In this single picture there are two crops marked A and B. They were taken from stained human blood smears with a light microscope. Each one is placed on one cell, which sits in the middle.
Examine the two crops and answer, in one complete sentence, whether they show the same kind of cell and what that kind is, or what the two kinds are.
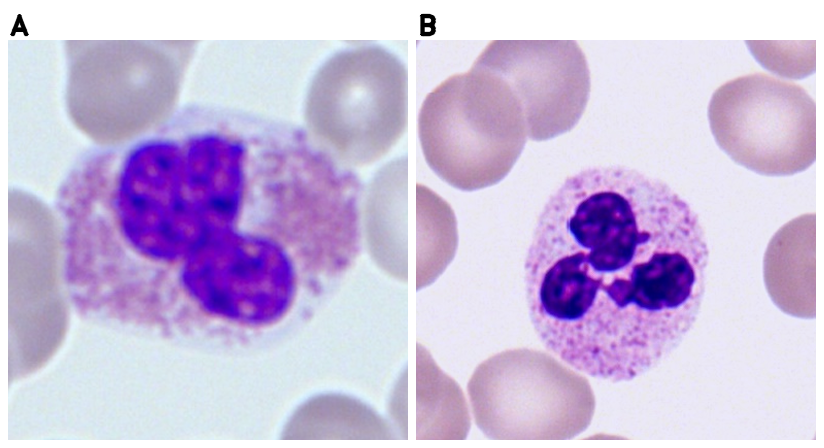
No, crop A captures an eosinophil, and crop B captures a neutrophil.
